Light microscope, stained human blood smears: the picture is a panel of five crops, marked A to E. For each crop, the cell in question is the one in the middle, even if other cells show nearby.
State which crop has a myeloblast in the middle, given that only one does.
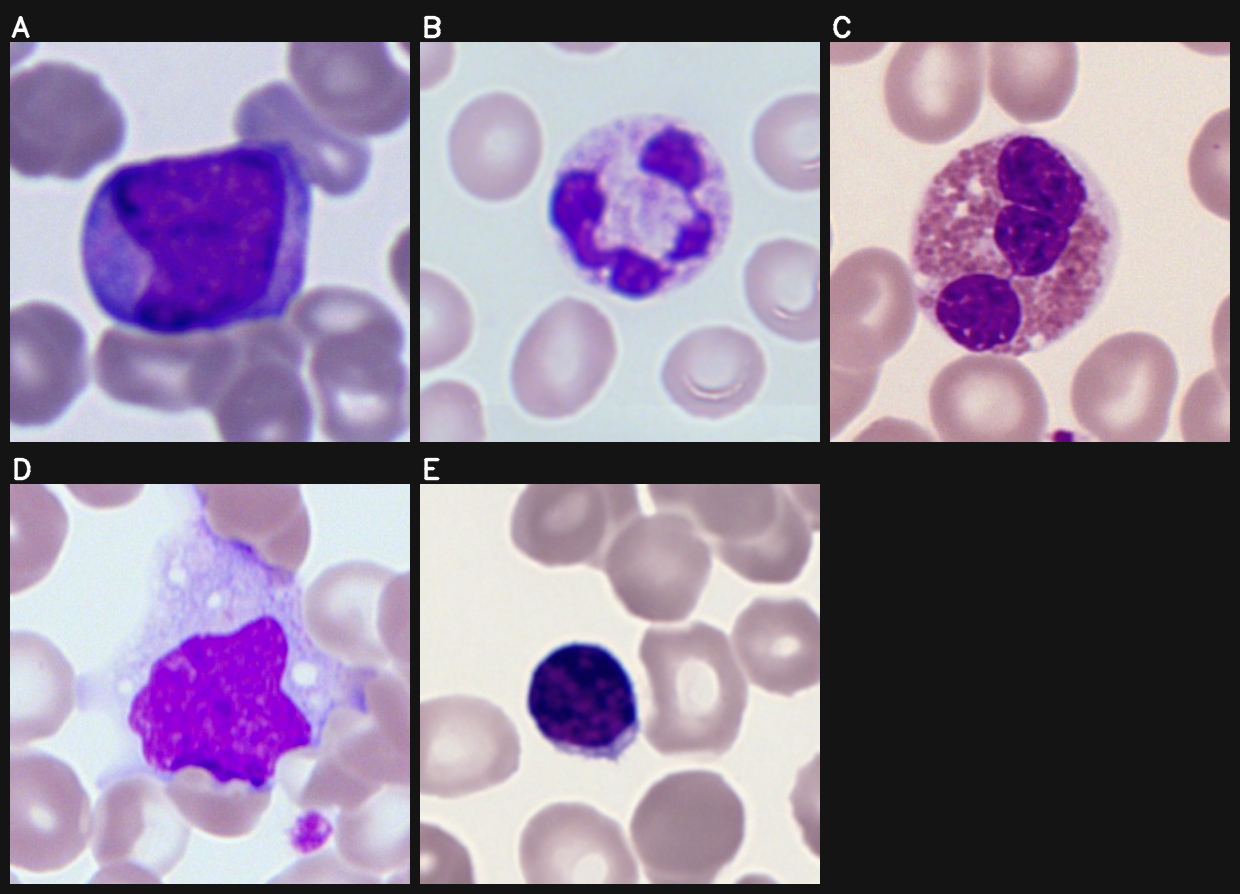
A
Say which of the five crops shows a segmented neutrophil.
B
